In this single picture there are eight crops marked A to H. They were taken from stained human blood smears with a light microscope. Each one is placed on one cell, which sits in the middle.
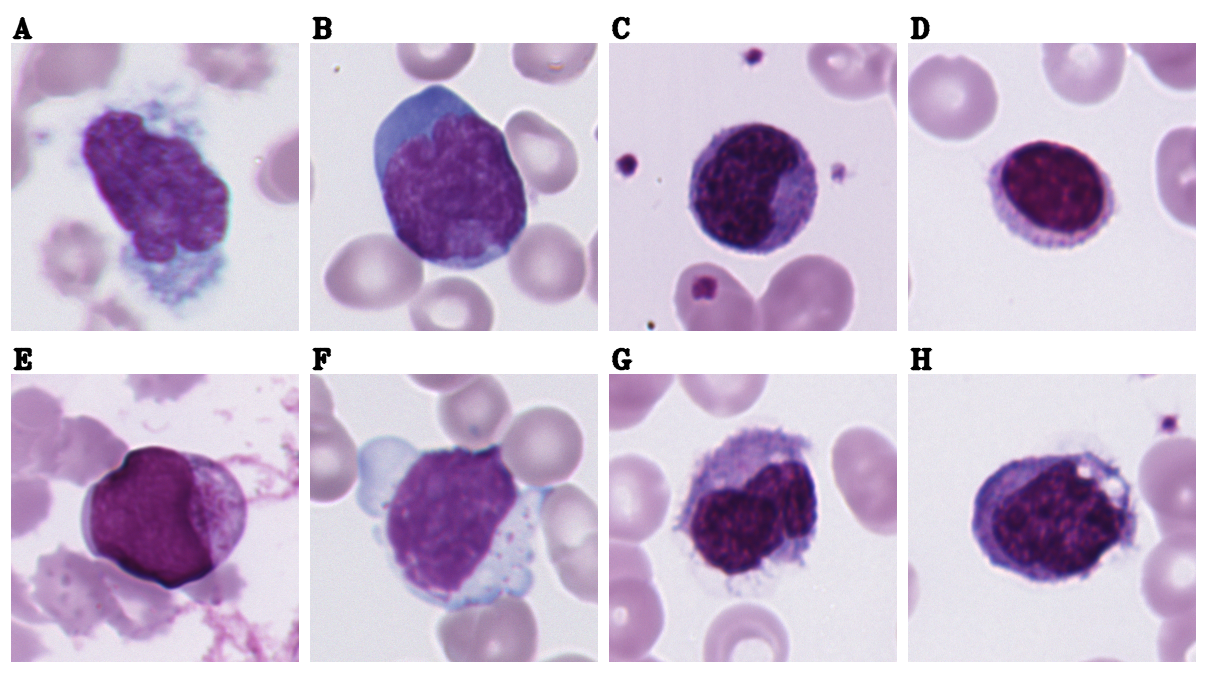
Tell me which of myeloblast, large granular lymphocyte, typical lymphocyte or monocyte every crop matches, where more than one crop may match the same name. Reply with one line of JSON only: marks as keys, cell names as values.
{"A": "monocyte", "B": "myeloblast", "C": "monocyte", "D": "typical lymphocyte", "E": "myeloblast", "F": "large granular lymphocyte", "G": "monocyte", "H": "monocyte"}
